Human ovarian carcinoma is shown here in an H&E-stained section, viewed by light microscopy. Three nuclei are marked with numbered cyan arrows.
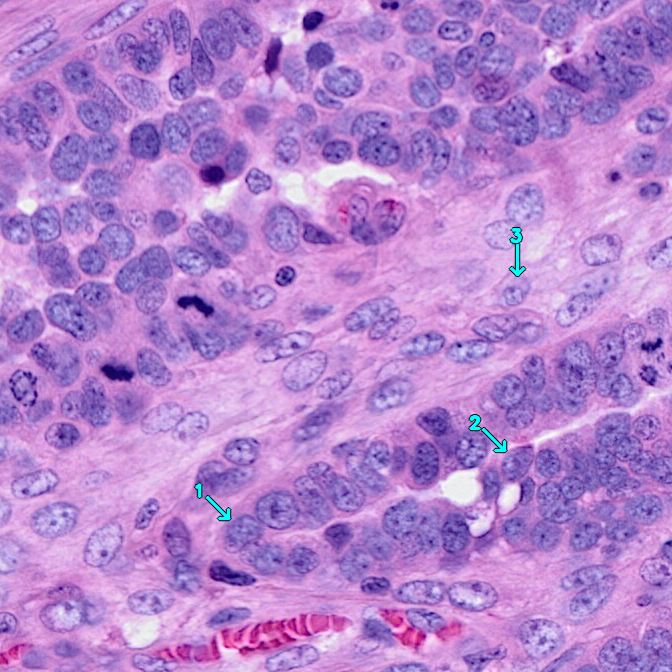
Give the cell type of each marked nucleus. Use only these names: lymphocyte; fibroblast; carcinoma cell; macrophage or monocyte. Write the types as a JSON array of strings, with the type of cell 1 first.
["carcinoma cell", "carcinoma cell", "fibroblast"]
